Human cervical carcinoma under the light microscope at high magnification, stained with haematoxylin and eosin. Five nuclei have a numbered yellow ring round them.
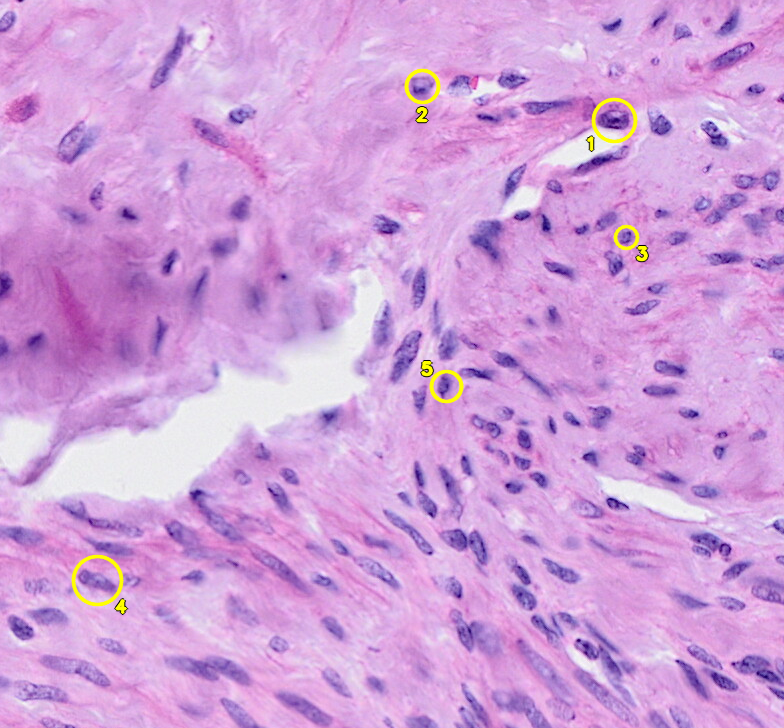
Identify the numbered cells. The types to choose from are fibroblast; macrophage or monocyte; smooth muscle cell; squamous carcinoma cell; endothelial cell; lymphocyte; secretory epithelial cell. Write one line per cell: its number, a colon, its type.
1: endothelial cell
2: endothelial cell
3: smooth muscle cell
4: smooth muscle cell
5: fibroblast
